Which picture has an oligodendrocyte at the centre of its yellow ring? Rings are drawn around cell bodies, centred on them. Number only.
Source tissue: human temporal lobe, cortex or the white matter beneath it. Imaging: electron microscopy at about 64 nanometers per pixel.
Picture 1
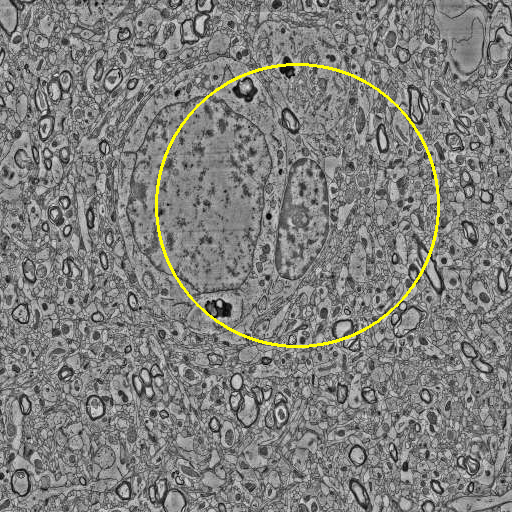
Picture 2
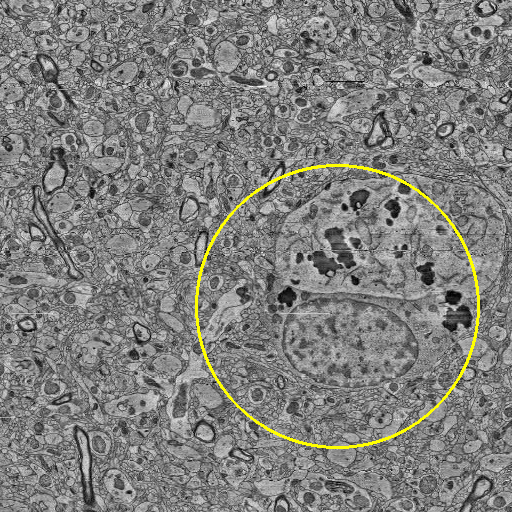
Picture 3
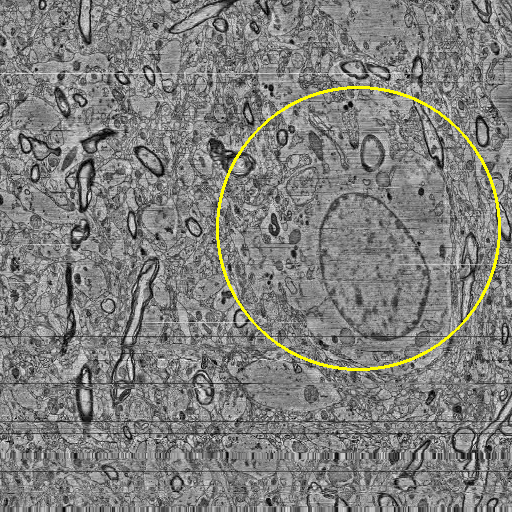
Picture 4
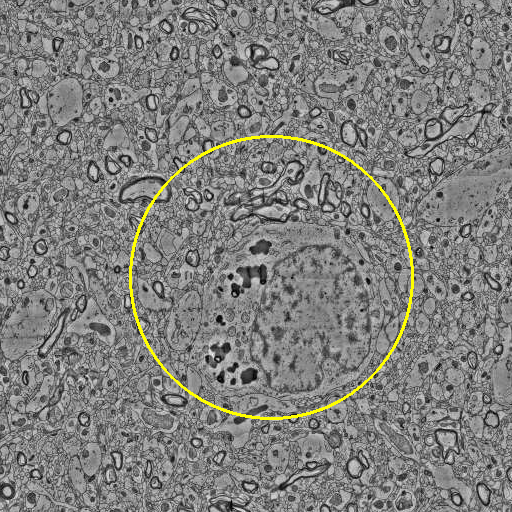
2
